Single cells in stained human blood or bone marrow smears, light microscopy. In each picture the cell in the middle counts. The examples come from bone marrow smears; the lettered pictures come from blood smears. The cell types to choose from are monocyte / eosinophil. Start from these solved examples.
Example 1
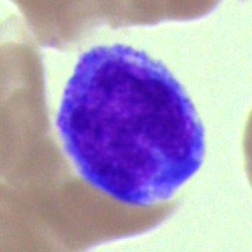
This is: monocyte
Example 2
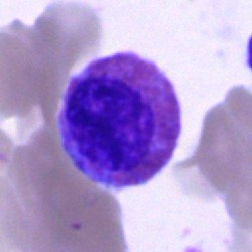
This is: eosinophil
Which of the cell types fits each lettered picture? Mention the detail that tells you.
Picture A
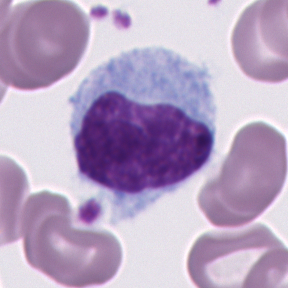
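monocyte. Reason: The cytoplasm holds fine, dust-like purplish granules.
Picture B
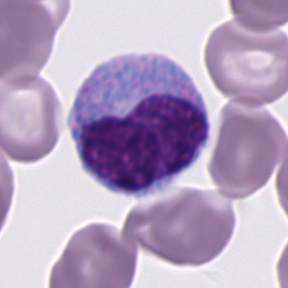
monocyte. Reason: Fine pinkish-lilac granules are scattered through the cytoplasm.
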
